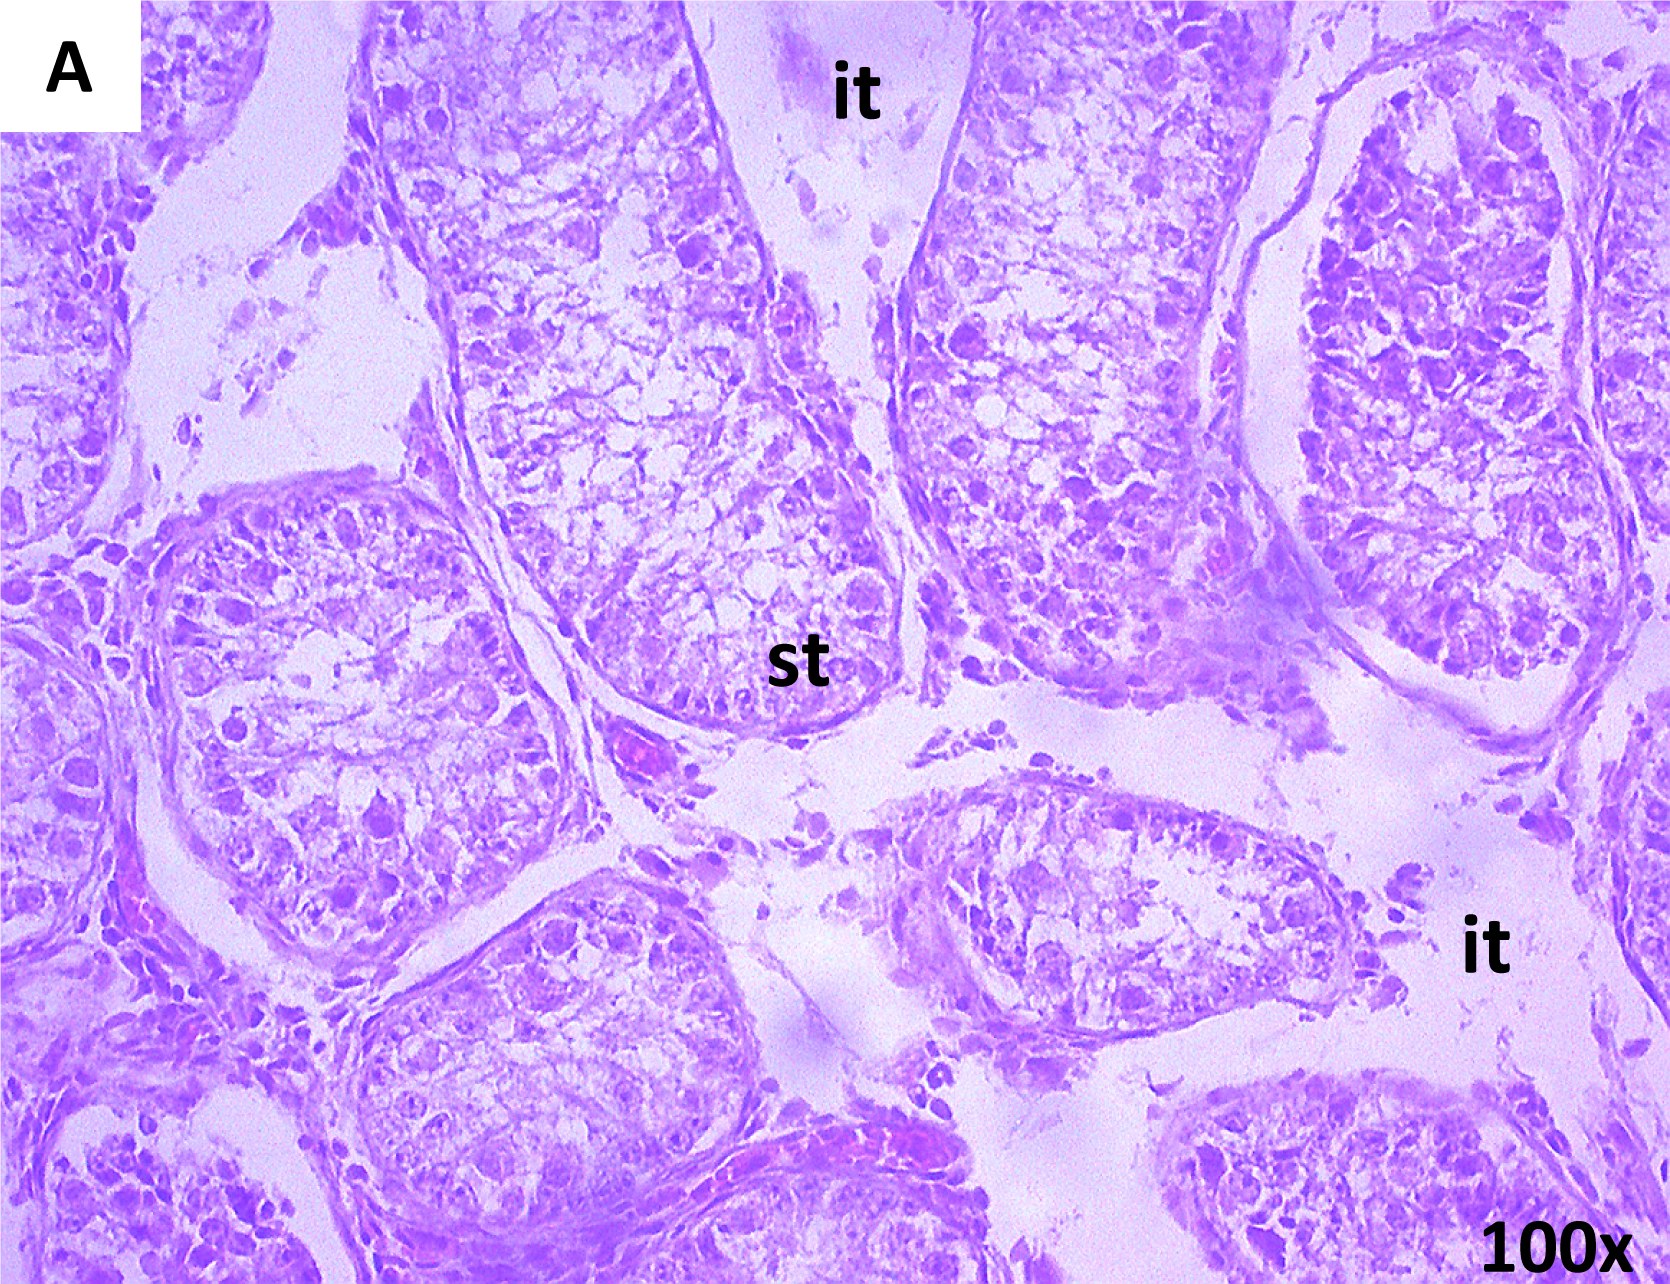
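This is testis tissue showing seminiferous tubules cut in cross-section and separated by intertubular connective tissue. The tubules are round to oval and bounded by a thin wall with flattened cells at the periphery. Inside, the epithelium is made up of rounded cells with purple nuclei set in a pale, foamy, vacuolated cytoplasm, and clear central lumina are small or lacking. Between the tubules lie wide, pale spaces of loose connective tissue containing scattered cells and small blood vessels, some holding red-stained blood cells. Overall the tubule contents look loosely organised rather than densely layered.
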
